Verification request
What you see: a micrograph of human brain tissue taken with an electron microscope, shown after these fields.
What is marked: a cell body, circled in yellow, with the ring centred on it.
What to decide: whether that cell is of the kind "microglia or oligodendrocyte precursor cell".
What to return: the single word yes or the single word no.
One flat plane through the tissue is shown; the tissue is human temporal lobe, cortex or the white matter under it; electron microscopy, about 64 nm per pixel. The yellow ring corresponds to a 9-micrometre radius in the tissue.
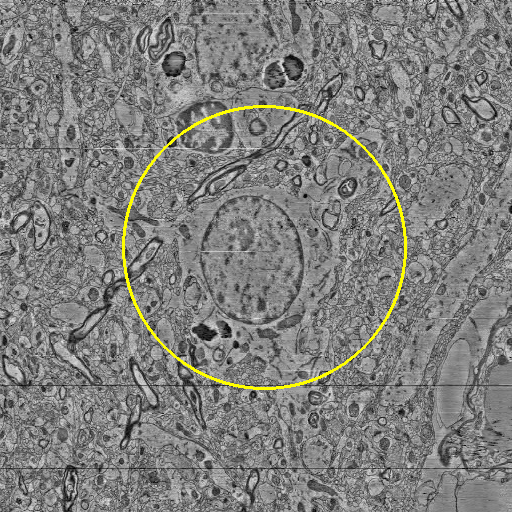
no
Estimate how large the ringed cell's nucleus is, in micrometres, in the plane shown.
Roughly 8 by 6 micrometres in this plane, for the nucleus of the ringed cell.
